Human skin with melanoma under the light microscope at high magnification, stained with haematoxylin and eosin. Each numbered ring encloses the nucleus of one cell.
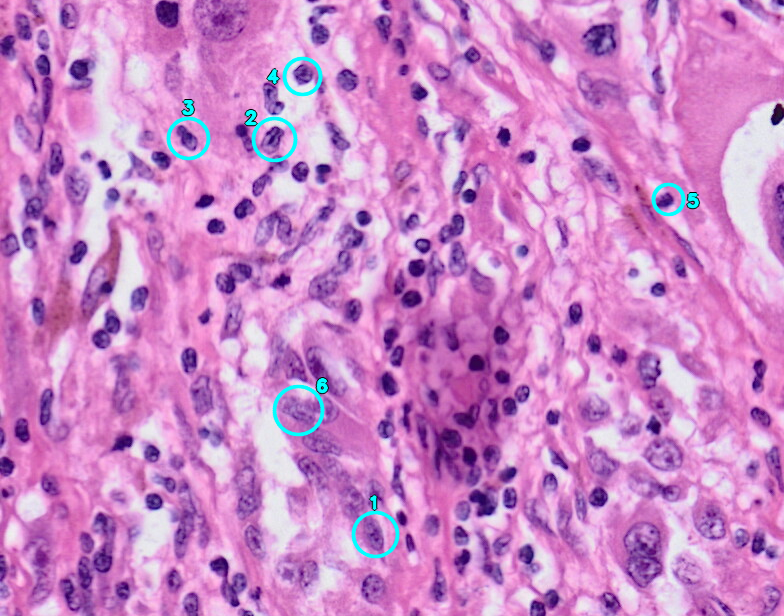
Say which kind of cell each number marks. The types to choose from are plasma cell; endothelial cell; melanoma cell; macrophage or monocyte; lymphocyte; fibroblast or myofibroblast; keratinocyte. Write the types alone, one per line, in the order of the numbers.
melanoma cell
lymphocyte
lymphocyte
lymphocyte
lymphocyte
melanoma cell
